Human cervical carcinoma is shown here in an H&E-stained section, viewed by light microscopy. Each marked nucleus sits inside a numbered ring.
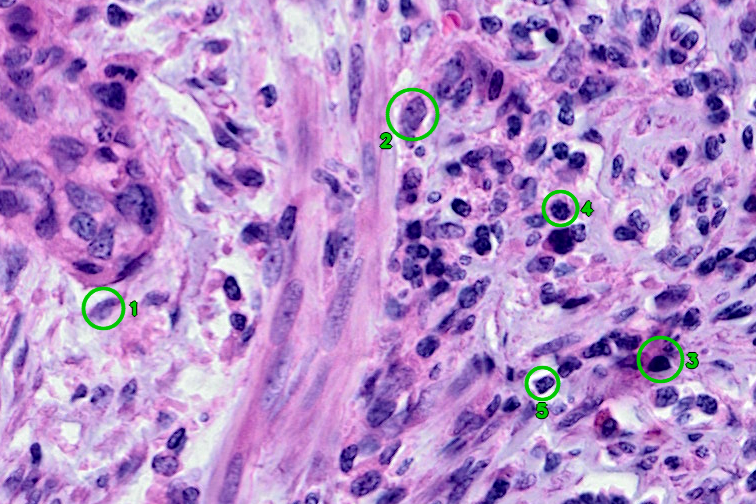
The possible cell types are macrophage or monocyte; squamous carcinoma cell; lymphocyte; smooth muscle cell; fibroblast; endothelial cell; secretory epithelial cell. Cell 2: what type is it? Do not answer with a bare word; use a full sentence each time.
Cell 2 is classified as a macrophage or monocyte.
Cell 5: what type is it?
Corresponding to a lymphocyte is the cell labelled 5.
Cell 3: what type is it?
Denoted by the label 3 in the section is a lymphocyte.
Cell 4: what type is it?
The cell indicated with the number 4 is classed as a lymphocyte.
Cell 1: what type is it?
Cell 1 is classified as a fibroblast.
